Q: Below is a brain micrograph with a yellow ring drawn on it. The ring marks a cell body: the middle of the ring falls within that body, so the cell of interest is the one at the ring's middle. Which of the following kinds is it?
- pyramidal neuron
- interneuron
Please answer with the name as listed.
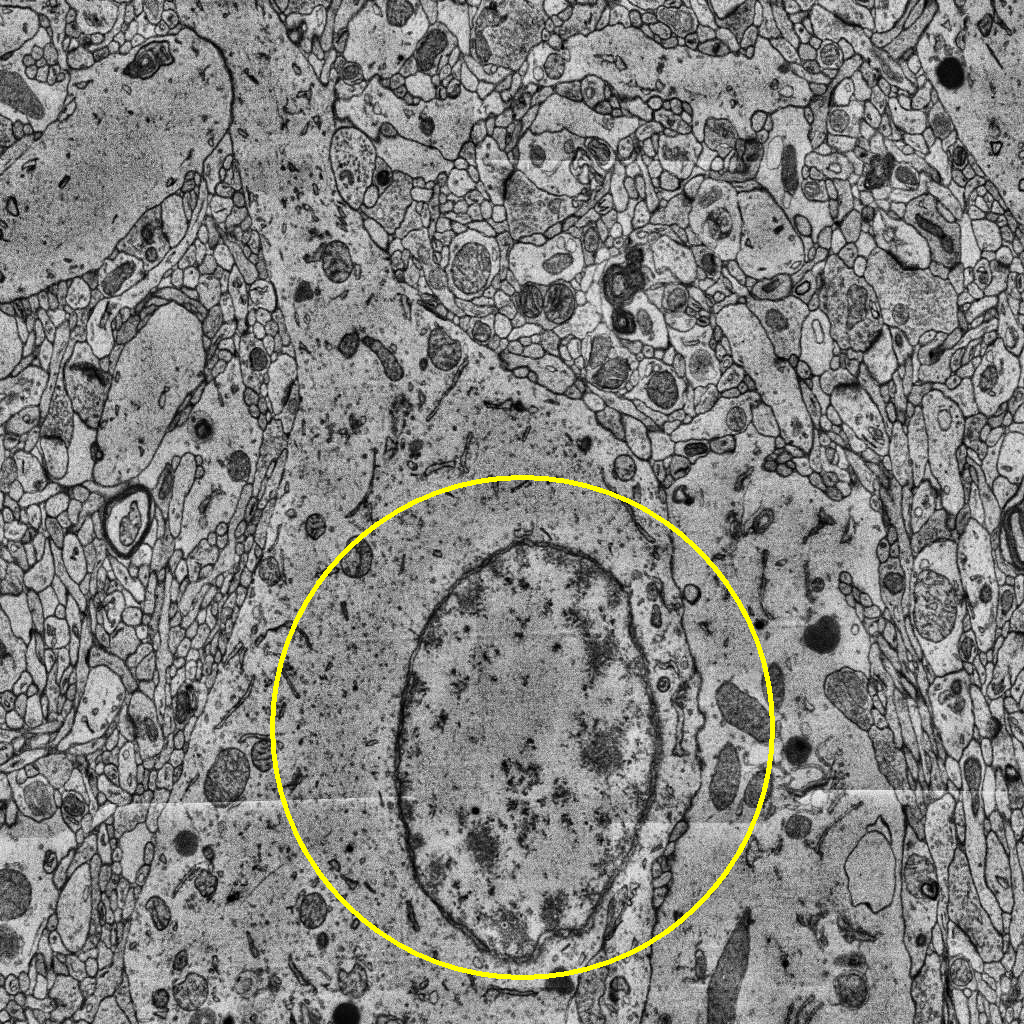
pyramidal neuron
